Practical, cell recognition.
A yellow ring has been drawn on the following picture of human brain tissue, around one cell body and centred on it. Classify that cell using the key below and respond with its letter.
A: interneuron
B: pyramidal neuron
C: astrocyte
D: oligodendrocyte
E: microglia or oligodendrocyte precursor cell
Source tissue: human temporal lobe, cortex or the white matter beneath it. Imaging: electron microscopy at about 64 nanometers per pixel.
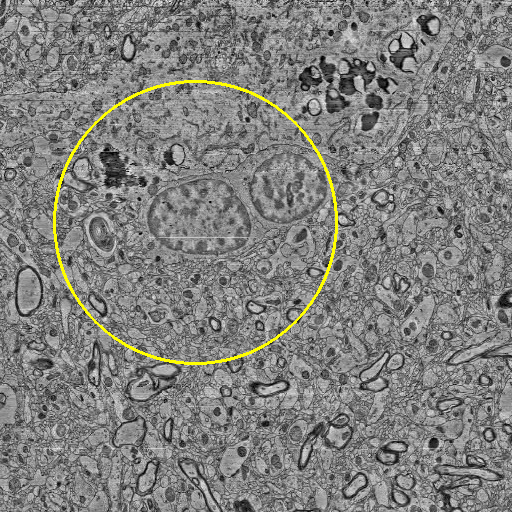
D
